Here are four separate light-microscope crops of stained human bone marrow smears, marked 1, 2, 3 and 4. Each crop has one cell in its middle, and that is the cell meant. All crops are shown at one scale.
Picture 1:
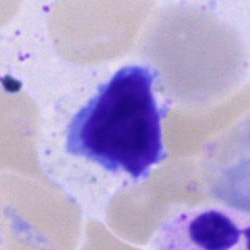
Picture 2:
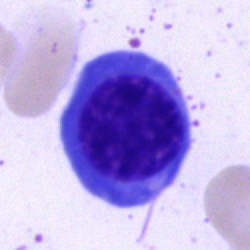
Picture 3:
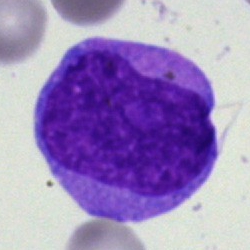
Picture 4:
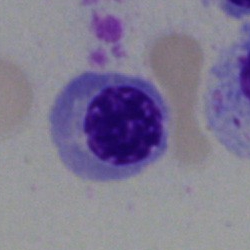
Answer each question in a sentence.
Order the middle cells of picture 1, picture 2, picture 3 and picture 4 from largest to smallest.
Largest first: 3, 2, 4, 1.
